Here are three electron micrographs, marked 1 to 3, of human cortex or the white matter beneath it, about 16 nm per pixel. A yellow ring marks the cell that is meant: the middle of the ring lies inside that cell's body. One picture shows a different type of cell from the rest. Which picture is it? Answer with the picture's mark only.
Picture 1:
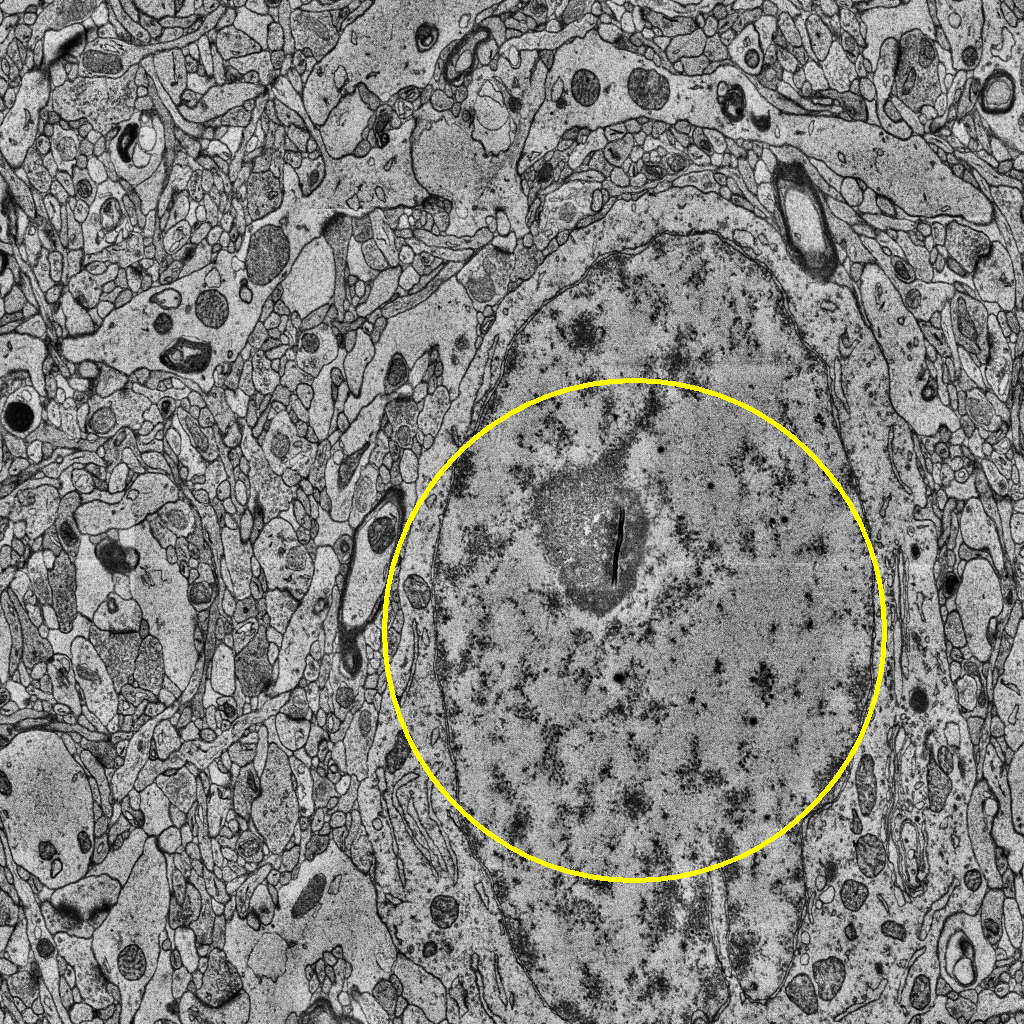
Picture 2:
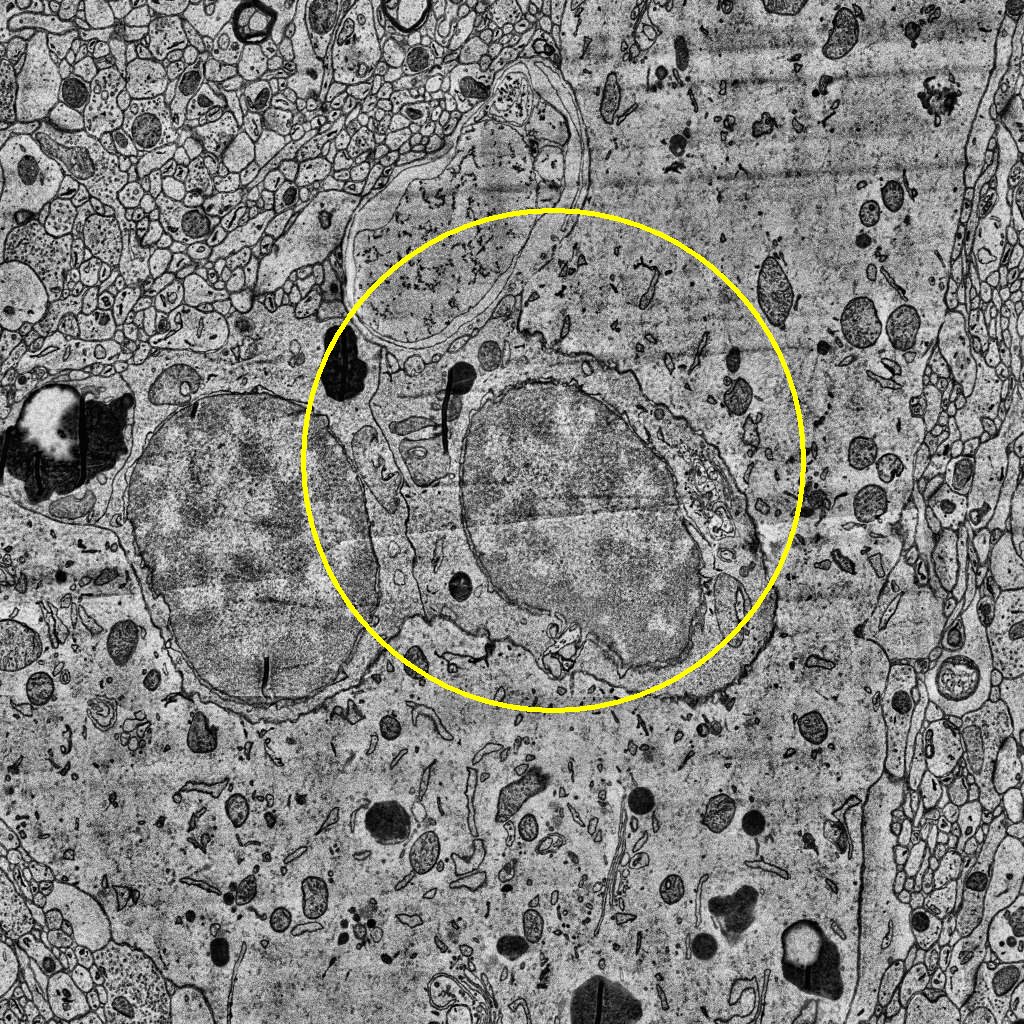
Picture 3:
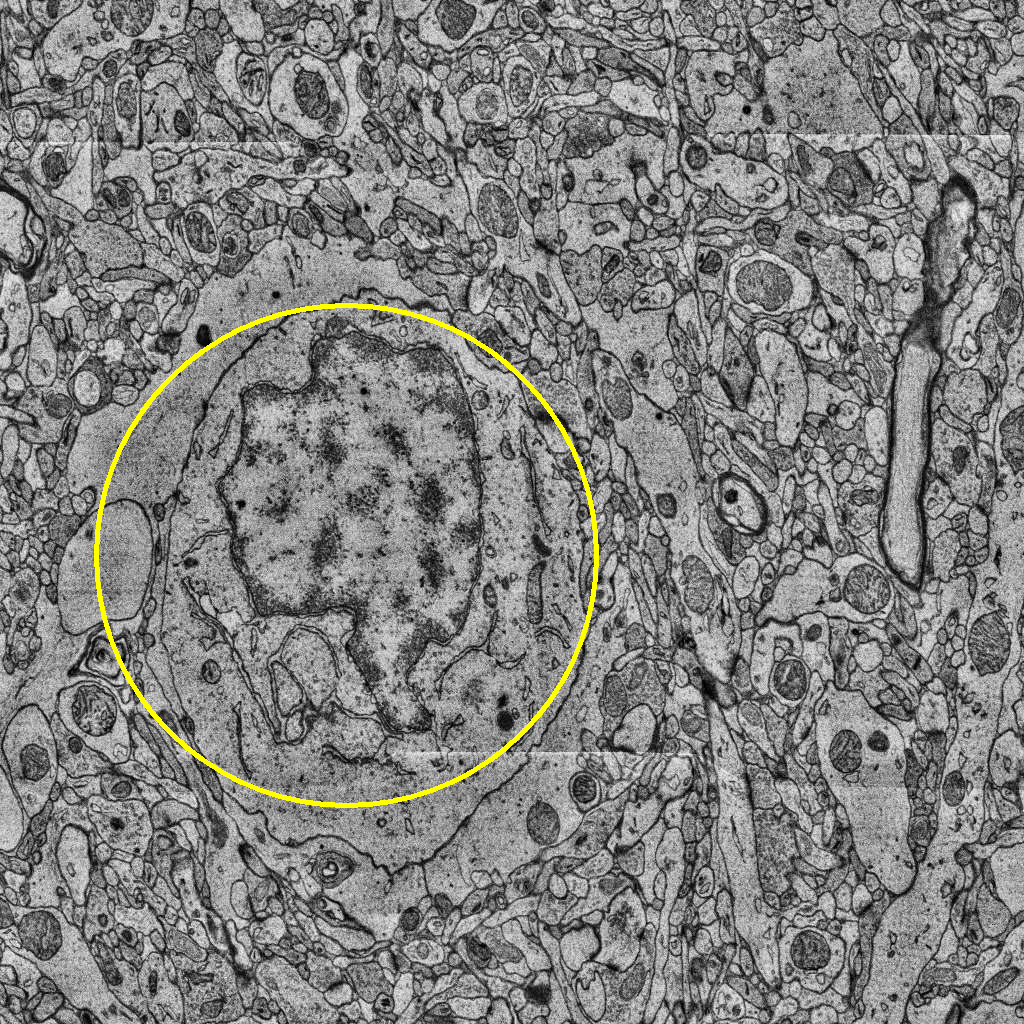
2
